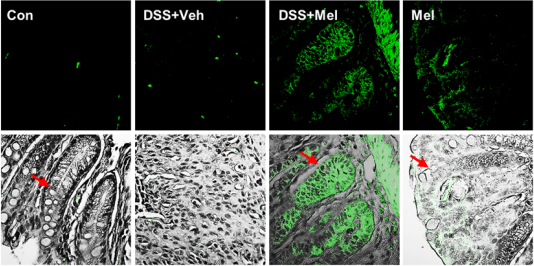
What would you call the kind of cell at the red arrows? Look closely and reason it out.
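Goblet cells. The arrows point at cells lying within the epithelium lining the crypts.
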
